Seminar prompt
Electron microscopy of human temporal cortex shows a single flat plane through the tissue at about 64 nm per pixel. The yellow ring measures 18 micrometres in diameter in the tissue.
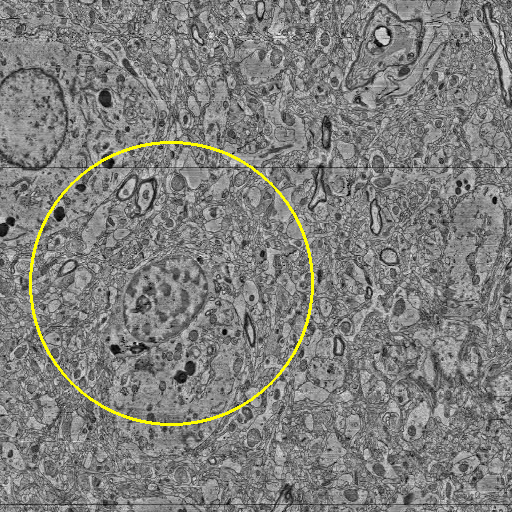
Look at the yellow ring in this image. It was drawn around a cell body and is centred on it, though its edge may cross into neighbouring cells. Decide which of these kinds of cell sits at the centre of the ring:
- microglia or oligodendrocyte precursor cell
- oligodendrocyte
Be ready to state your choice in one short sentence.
The kind of cell at the ring's centre is an oligodendrocyte.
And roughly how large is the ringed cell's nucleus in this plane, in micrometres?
Approximately 7 x 5 micrometres in this plane.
